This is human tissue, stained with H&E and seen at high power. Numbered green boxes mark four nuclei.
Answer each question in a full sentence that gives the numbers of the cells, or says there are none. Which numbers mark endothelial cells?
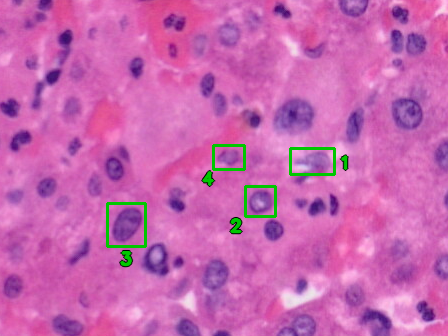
Whereas cell 1 is an endothelial cell, the other numbered cells are not.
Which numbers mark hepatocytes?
Marked by the numbers 2 and 3 are cells that are hepatocytes.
